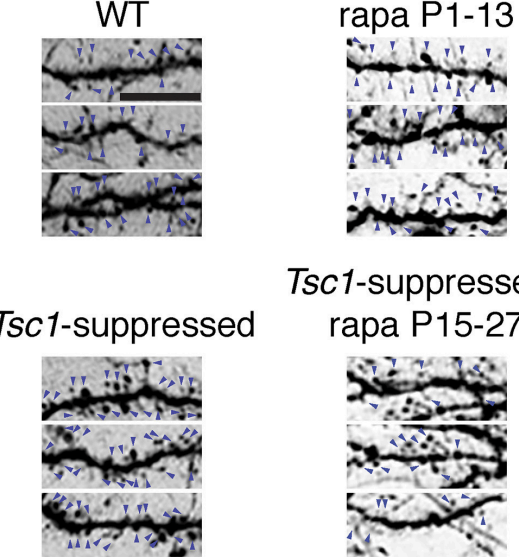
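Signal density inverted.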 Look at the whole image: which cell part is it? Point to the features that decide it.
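Each strip shows a thin dark process running horizontally across a pale background. The processes carry many small side protrusions along their length. So: dendritic segments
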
